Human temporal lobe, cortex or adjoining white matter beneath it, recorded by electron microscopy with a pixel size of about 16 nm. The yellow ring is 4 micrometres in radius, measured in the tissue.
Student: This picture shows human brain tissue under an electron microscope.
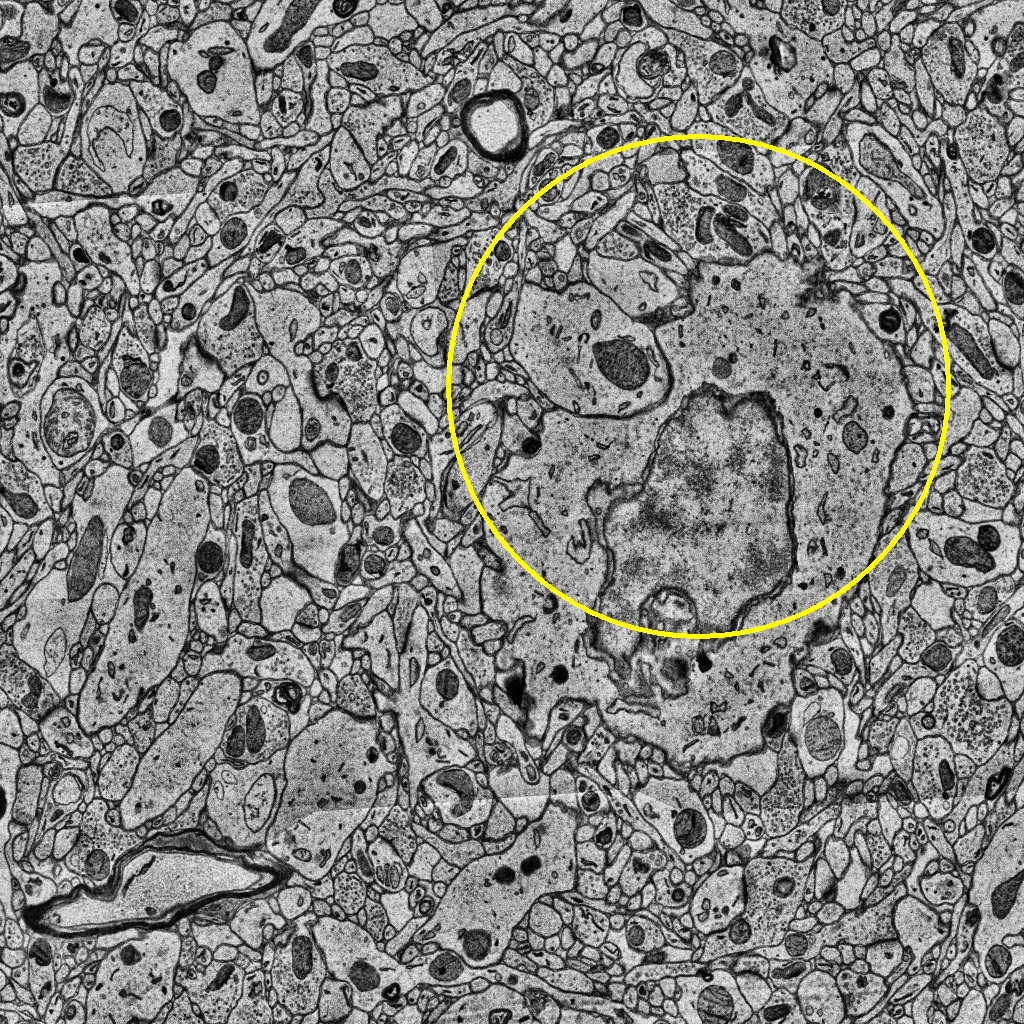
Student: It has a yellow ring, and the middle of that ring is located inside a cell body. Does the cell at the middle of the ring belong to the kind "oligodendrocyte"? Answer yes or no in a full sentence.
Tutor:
No, the cell at the middle of the ring in this picture is of another kind.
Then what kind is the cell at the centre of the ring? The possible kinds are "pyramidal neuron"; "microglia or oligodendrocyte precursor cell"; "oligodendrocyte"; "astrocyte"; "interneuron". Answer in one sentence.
The ring holds an interneuron at its centre.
